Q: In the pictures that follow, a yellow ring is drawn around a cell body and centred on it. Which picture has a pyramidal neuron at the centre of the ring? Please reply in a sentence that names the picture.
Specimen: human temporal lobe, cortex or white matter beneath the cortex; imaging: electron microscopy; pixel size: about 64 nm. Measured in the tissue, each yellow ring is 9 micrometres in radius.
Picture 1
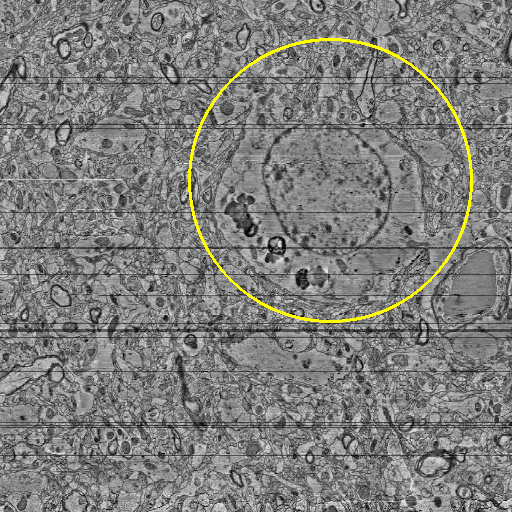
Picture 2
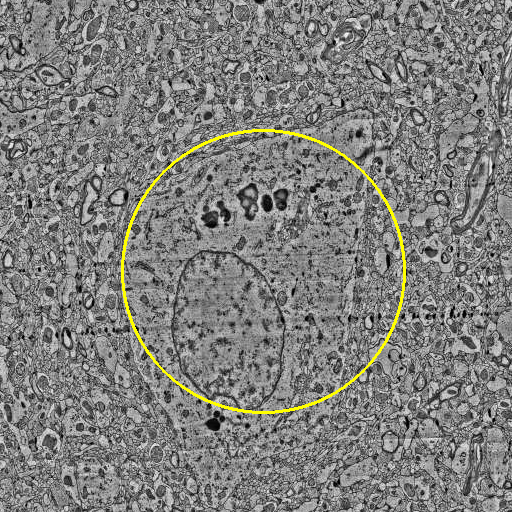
Picture 2 shows it at the centre of its ring.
